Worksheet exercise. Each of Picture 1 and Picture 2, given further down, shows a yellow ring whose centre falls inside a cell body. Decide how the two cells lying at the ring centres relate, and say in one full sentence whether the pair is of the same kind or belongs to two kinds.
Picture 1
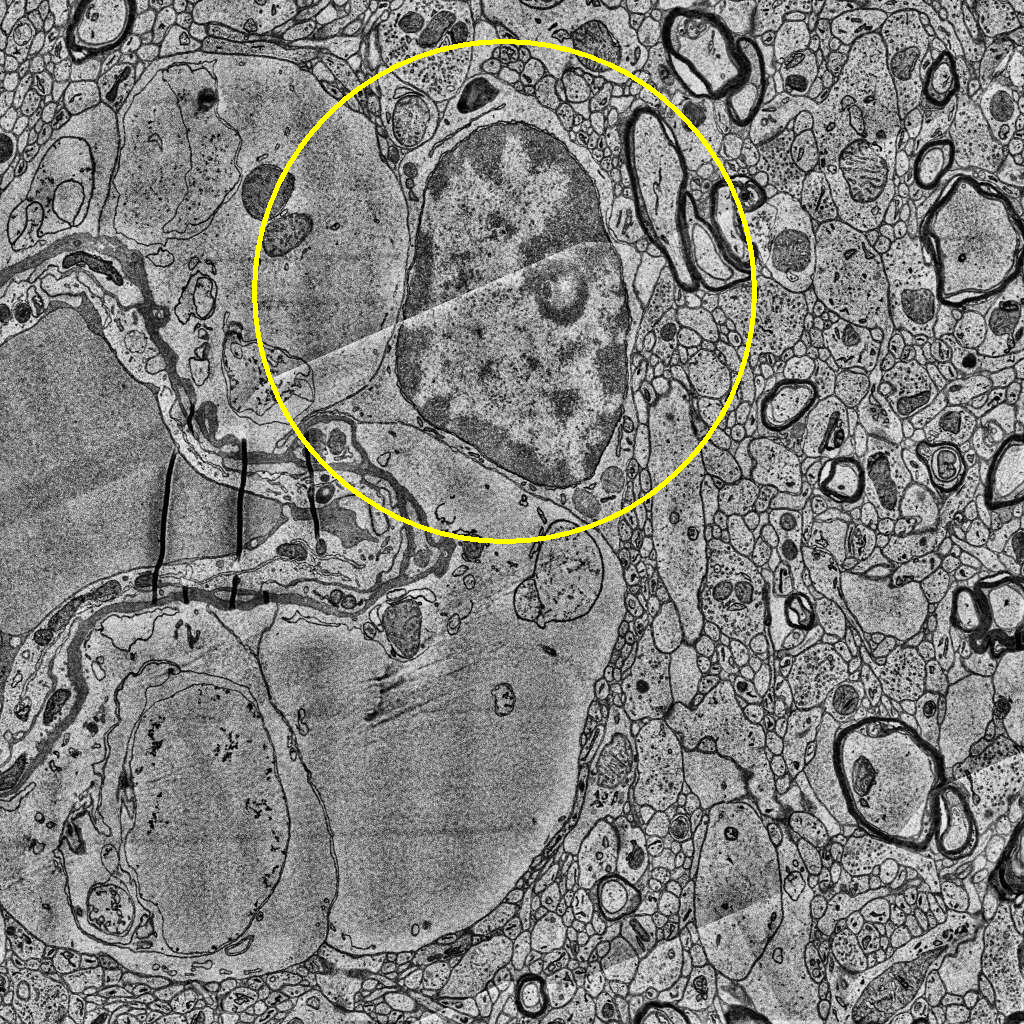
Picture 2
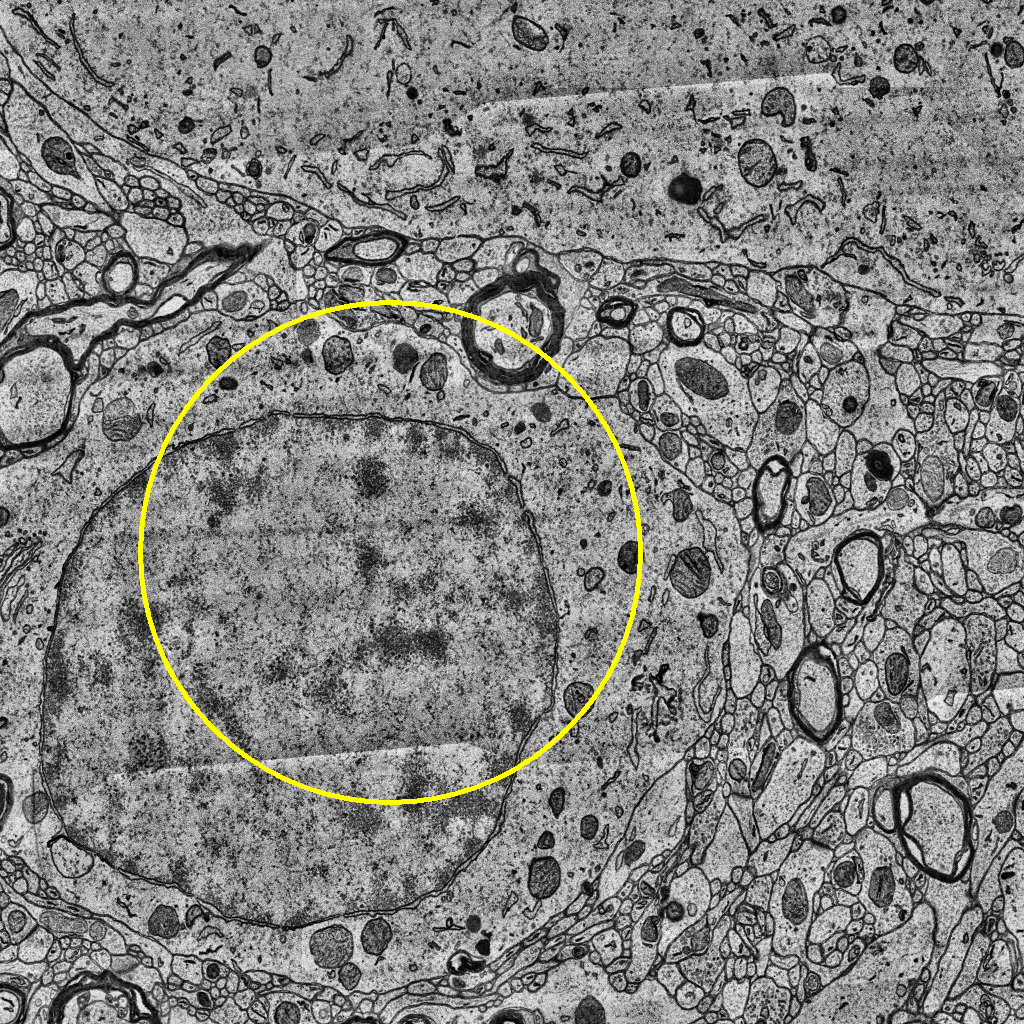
The cells at the ring centres in Picture 1 and Picture 2 belong to two kinds.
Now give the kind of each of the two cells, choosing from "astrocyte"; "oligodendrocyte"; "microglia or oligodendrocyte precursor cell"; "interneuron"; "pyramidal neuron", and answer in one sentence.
For the first picture it is a microglial cell or oligodendrocyte precursor cell; for the second, an interneuron.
